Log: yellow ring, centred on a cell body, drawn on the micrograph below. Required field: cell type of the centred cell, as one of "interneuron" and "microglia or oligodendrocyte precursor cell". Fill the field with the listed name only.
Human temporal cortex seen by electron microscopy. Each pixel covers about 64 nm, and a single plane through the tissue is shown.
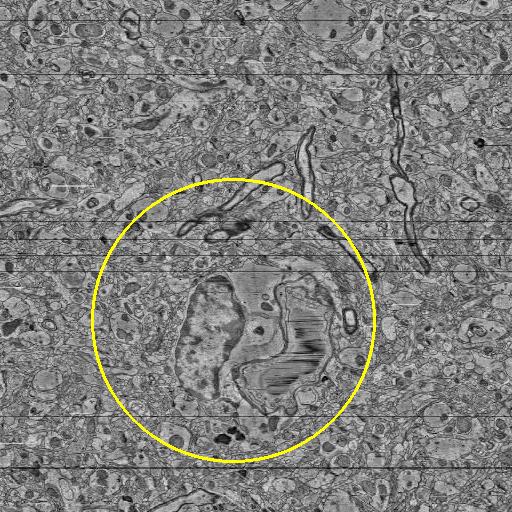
microglia or oligodendrocyte precursor cell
